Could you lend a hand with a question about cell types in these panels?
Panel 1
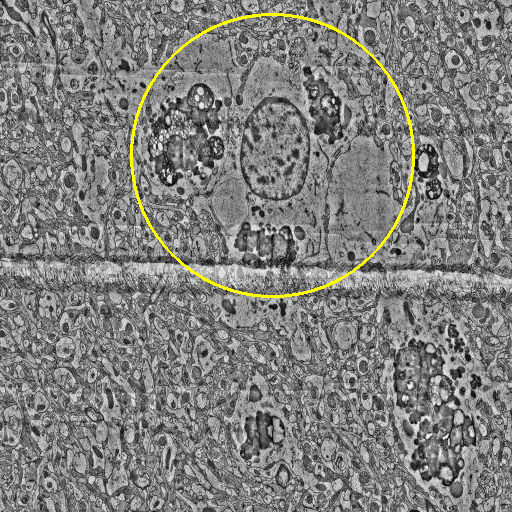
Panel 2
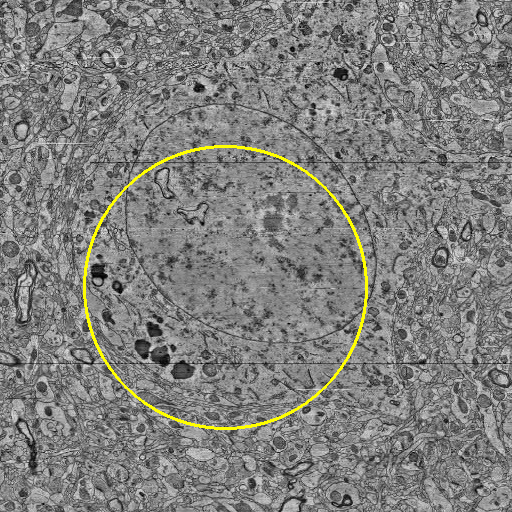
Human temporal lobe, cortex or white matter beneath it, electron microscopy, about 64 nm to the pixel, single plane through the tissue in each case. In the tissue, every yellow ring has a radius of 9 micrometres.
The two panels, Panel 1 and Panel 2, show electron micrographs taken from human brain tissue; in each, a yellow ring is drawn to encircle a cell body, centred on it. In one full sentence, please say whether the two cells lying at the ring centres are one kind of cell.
No, the cells at the ring centres in the two panels are two kinds of cell.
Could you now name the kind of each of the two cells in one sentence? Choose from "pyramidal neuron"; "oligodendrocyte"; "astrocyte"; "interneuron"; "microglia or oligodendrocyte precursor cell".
The first ring encloses an astrocyte; the second ring encloses a pyramidal neuron.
